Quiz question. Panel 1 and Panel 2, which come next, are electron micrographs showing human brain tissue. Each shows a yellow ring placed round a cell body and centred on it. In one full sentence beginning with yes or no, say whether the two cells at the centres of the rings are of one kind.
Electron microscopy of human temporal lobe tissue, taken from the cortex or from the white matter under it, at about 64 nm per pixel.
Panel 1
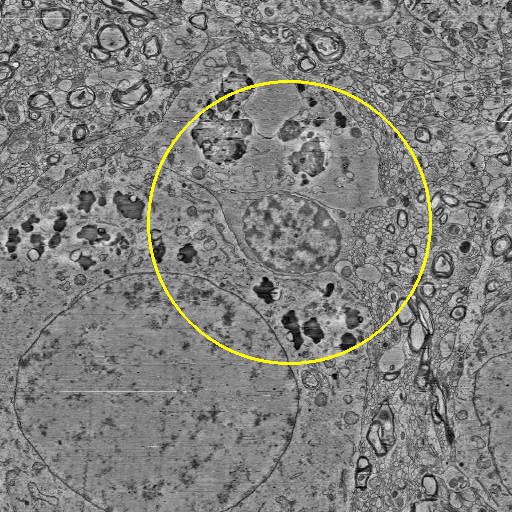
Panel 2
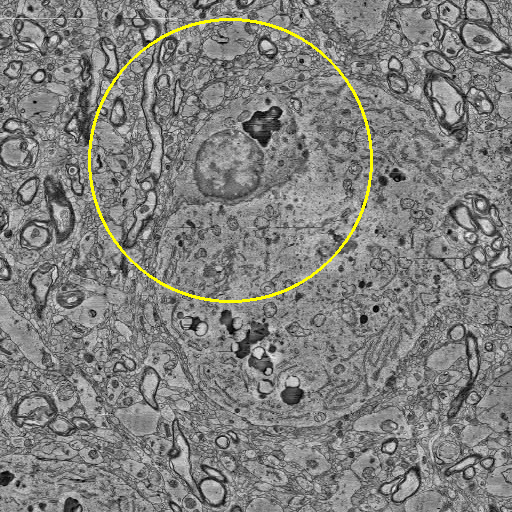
Yes, Panel 1 and Panel 2 show one kind of cell at the centre of the ring.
